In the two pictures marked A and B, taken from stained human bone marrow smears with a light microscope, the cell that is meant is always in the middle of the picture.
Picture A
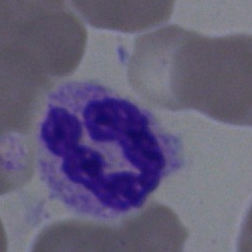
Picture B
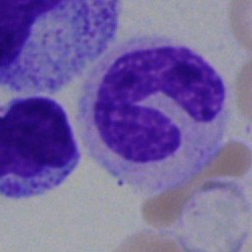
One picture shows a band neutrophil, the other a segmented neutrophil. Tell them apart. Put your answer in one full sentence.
Picture A is of a segmented neutrophil, and picture B is of a band neutrophil.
